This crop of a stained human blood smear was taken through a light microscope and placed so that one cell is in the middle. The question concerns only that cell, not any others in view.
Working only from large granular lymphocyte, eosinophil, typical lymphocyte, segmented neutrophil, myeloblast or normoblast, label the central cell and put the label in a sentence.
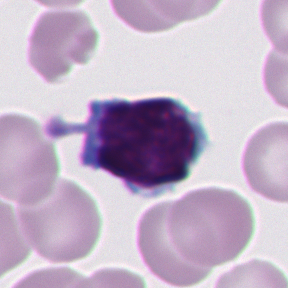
In this crop, the cell at the very middle is a typical lymphocyte.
